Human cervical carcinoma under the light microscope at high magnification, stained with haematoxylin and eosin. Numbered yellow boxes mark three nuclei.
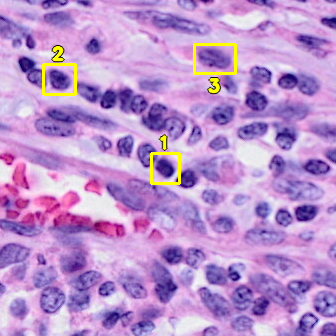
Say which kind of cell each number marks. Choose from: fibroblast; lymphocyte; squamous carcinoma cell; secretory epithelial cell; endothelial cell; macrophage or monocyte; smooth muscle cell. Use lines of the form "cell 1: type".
cell 1: lymphocyte
cell 2: lymphocyte
cell 3: macrophage or monocyte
